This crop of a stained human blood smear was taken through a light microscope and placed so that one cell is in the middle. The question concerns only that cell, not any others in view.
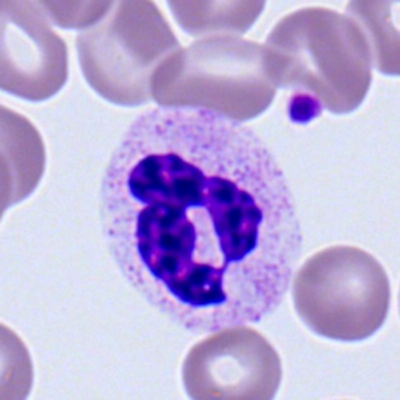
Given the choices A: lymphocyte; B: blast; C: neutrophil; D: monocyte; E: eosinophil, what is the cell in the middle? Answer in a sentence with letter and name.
Since the cell in the centre is a neutrophil, the correct option is C.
